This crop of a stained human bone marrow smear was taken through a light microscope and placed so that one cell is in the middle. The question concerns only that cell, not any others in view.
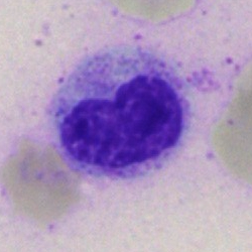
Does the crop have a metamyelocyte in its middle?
yes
